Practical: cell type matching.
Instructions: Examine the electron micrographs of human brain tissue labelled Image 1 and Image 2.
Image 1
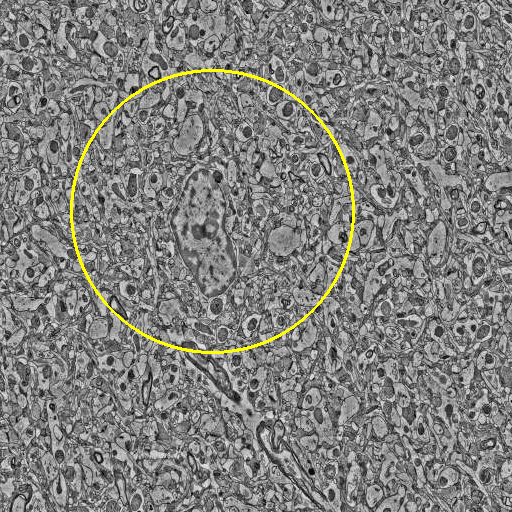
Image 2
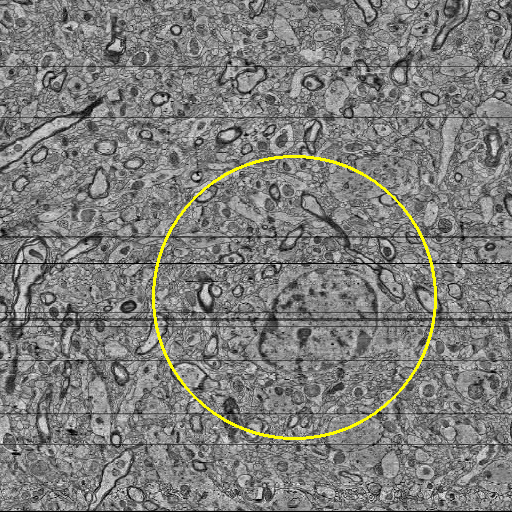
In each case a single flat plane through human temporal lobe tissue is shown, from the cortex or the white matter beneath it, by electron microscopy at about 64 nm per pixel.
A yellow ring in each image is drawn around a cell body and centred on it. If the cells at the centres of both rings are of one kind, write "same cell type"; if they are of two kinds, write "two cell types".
same cell type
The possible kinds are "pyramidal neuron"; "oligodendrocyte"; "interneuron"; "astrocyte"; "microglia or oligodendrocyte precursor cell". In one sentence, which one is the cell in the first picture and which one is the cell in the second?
Each cell, in the first picture and the second, is a microglial cell or oligodendrocyte precursor cell.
